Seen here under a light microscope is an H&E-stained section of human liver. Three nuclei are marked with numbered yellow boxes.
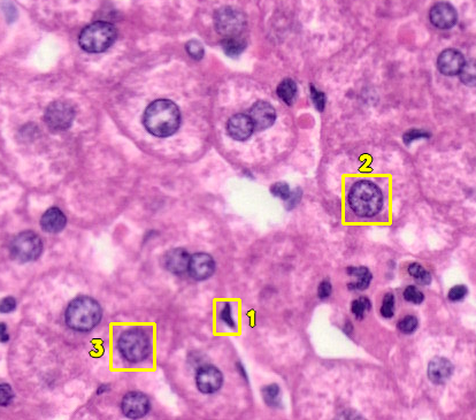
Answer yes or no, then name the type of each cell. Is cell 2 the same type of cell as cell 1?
No, cell 2 is categorized as a hepatocyte, while cell 1 is categorized as an endothelial cell.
